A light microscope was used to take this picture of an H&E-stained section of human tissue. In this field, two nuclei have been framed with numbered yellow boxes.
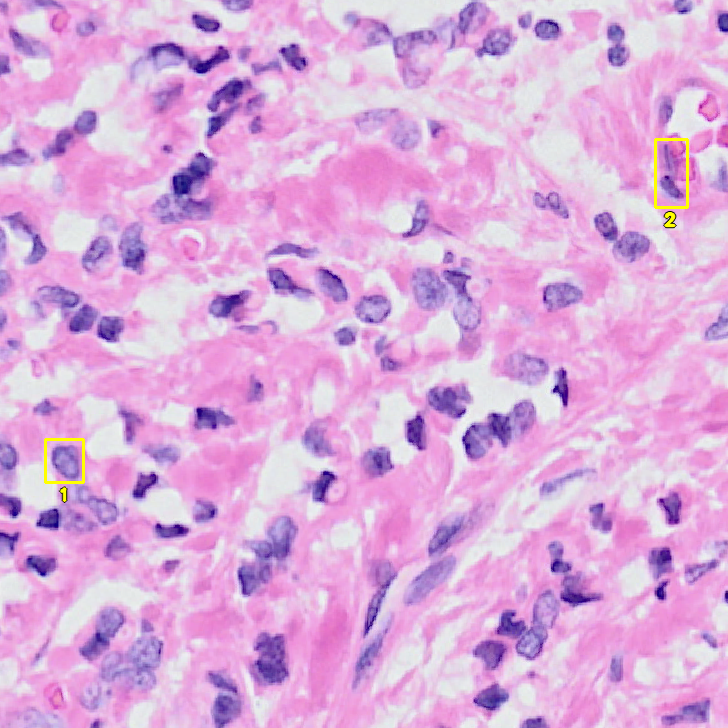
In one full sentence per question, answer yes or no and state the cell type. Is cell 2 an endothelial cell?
Yes, cell 2 among the marked cells is an endothelial cell.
